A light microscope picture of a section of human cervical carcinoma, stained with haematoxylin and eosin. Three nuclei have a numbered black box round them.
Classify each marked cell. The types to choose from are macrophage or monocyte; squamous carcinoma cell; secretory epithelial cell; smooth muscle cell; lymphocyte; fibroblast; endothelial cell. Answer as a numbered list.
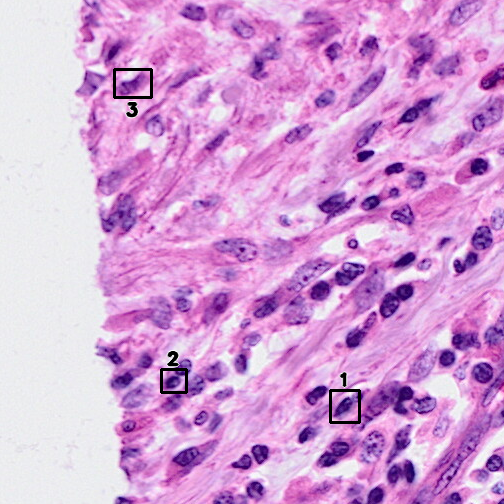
1. lymphocyte
2. lymphocyte
3. fibroblast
